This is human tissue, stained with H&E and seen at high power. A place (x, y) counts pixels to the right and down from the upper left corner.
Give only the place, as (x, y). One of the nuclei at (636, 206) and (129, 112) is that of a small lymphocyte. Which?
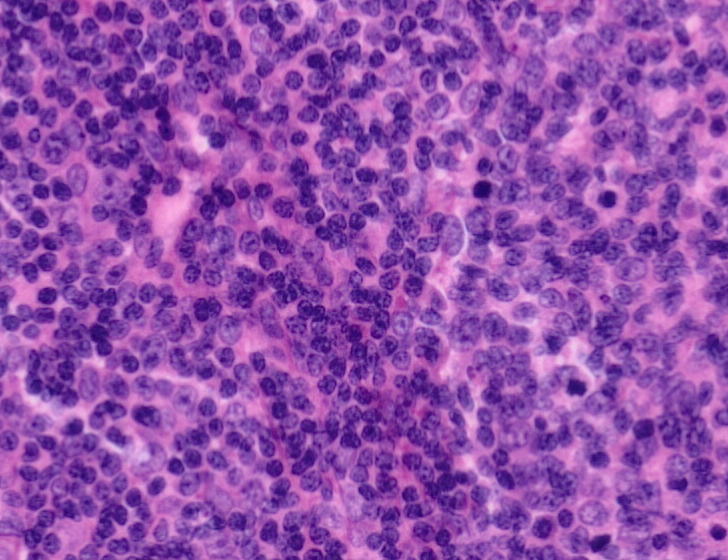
(129, 112)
